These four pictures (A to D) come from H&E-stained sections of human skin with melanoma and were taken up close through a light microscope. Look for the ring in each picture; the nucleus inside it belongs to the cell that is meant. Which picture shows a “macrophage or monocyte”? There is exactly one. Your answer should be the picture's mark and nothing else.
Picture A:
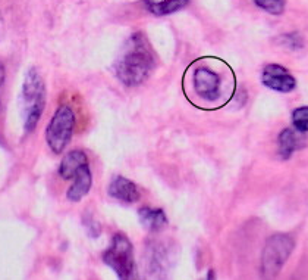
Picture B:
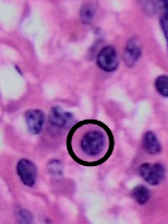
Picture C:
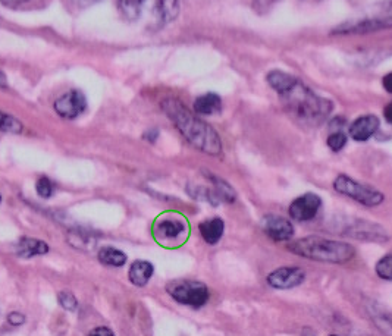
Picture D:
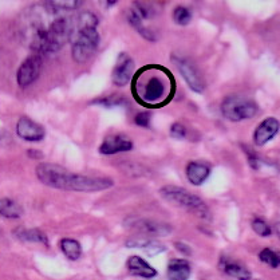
A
